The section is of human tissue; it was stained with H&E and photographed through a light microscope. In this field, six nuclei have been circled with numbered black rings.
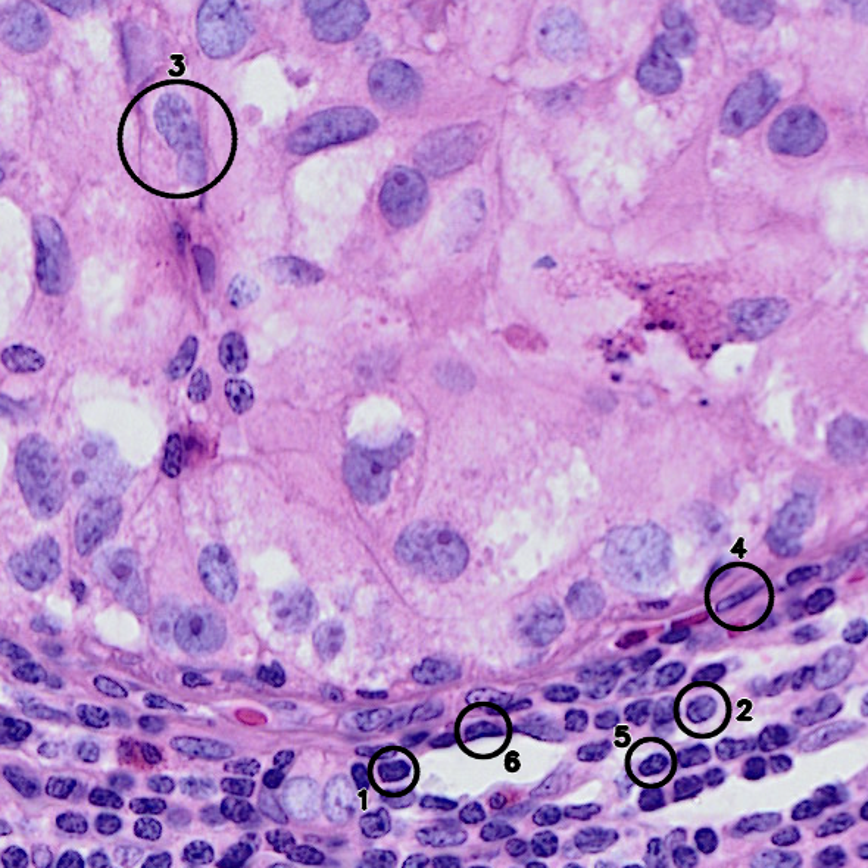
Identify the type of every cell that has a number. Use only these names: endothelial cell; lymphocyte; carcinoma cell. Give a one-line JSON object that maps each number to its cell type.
{"1": "lymphocyte", "2": "lymphocyte", "3": "carcinoma cell", "4": "endothelial cell", "5": "lymphocyte", "6": "lymphocyte"}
